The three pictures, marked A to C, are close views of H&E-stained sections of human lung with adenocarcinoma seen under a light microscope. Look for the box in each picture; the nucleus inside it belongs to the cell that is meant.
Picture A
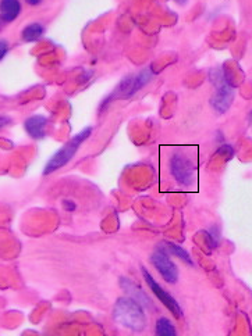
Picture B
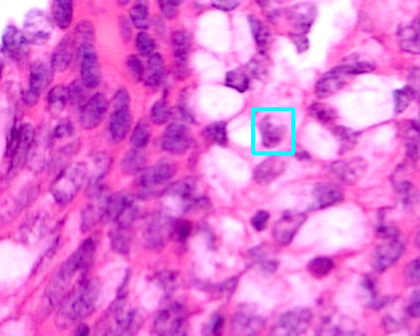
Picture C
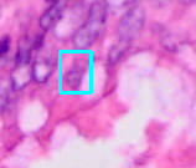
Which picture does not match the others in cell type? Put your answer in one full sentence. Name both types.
Picture A is the odd one out: it shows a type I pneumocyte, while the others show ciliated epithelial cells.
